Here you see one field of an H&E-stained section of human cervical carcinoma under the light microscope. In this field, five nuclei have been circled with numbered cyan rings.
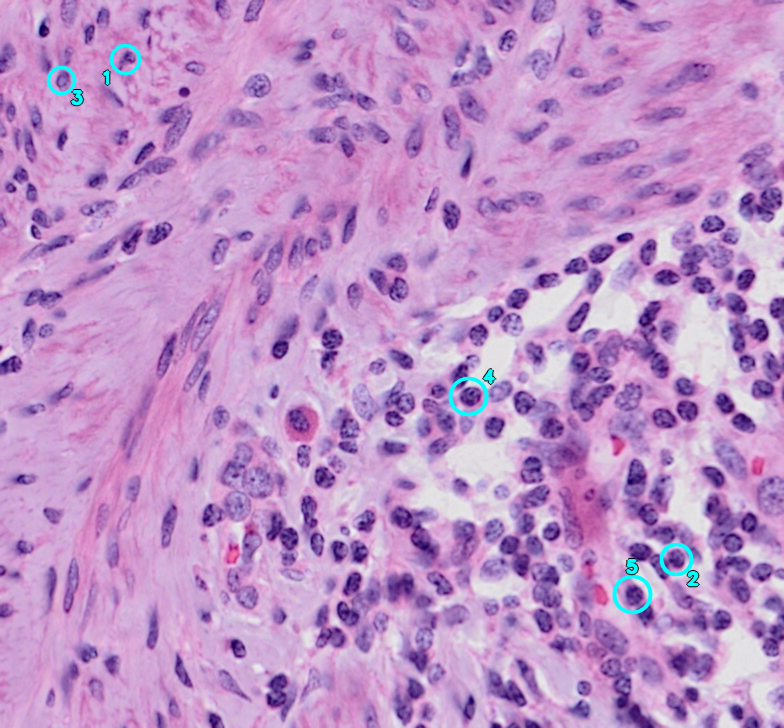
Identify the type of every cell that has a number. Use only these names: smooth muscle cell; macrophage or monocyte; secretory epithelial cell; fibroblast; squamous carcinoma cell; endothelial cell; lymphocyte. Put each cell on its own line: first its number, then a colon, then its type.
1: smooth muscle cell
2: lymphocyte
3: smooth muscle cell
4: lymphocyte
5: lymphocyte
